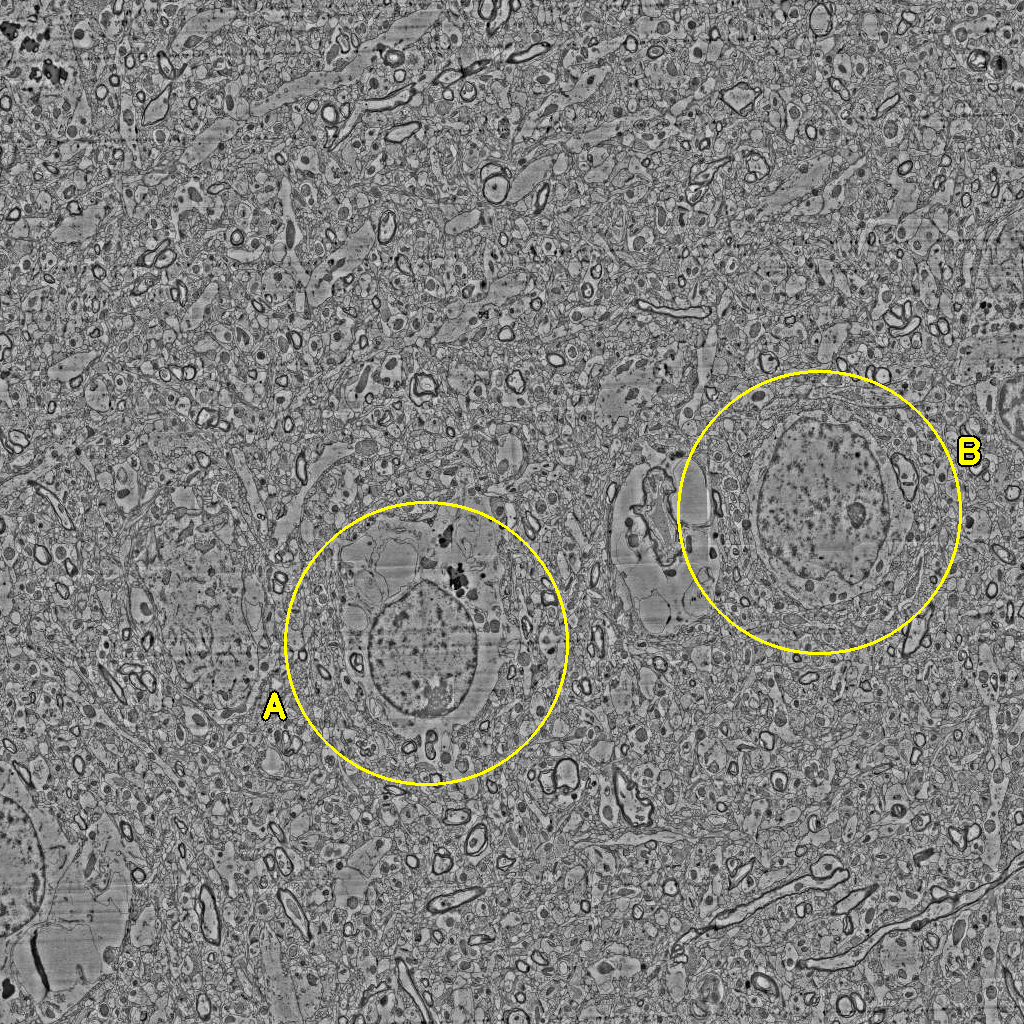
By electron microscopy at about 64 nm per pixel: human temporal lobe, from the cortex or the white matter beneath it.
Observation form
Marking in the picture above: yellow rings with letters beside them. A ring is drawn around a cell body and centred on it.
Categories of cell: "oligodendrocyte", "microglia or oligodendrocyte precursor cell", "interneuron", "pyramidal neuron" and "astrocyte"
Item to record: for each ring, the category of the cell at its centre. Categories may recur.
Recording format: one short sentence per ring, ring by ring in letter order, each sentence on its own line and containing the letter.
Ring A is placed on an astrocyte.
Ring B is placed on an interneuron.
